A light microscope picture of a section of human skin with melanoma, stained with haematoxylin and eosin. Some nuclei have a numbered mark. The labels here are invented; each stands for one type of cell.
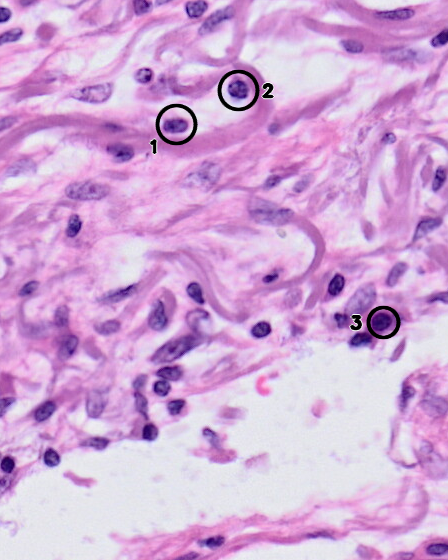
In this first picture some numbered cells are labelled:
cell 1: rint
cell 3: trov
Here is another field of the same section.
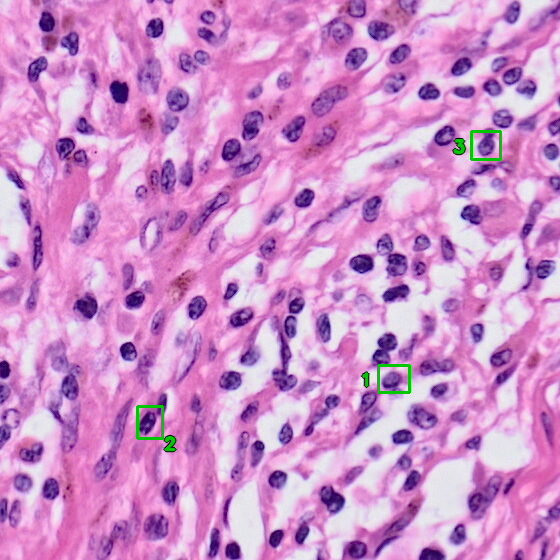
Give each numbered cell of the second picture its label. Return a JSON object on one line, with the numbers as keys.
{"1": "rint", "2": "trov", "3": "rint"}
